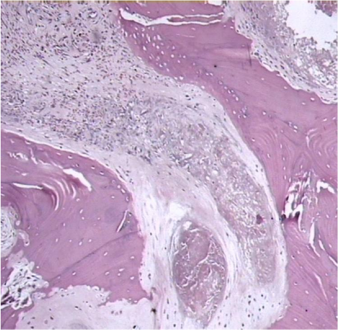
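Pink bone trabeculae with small lacunae border a pale space between them. That space is filled with loose tissue crowded with many small dark nuclei, typical of granulation tissue, instead of fatty marrow.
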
